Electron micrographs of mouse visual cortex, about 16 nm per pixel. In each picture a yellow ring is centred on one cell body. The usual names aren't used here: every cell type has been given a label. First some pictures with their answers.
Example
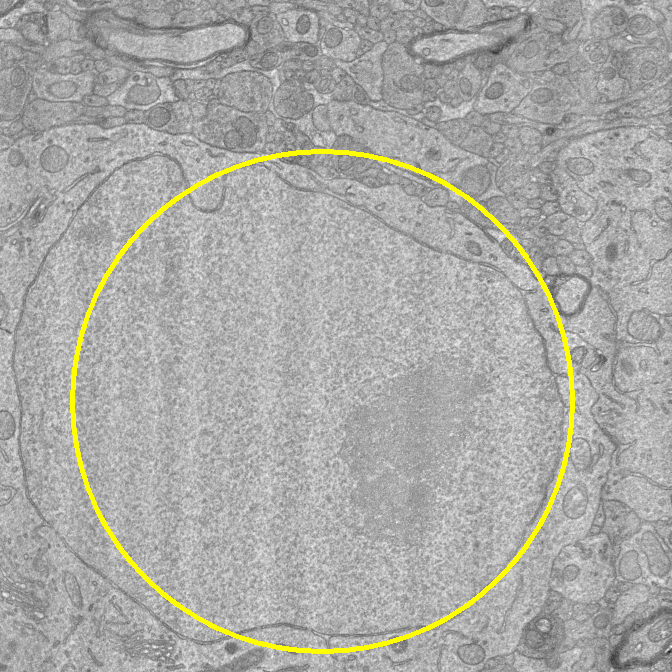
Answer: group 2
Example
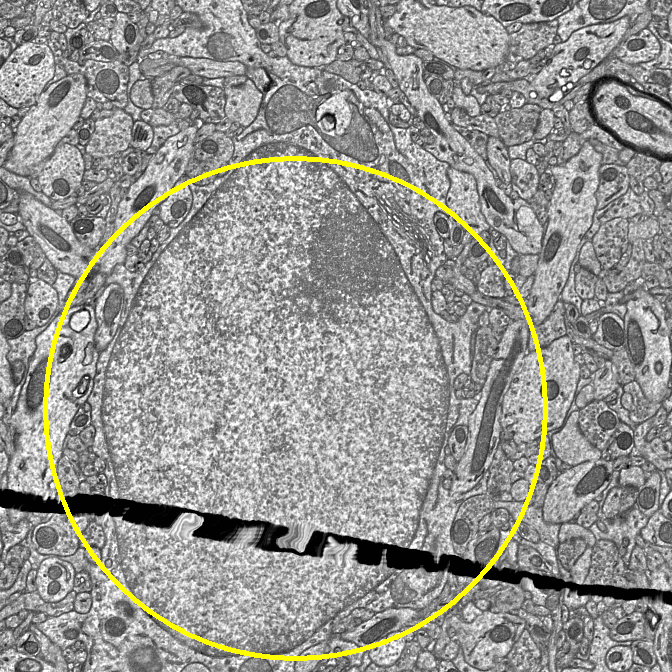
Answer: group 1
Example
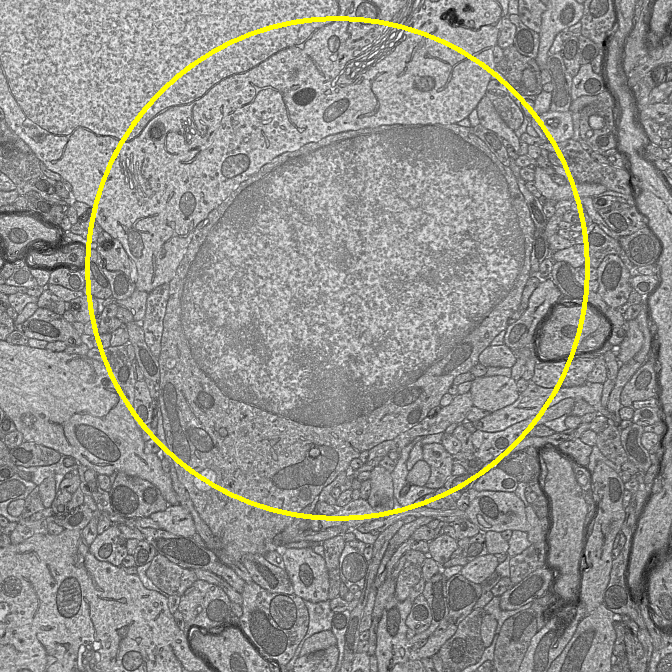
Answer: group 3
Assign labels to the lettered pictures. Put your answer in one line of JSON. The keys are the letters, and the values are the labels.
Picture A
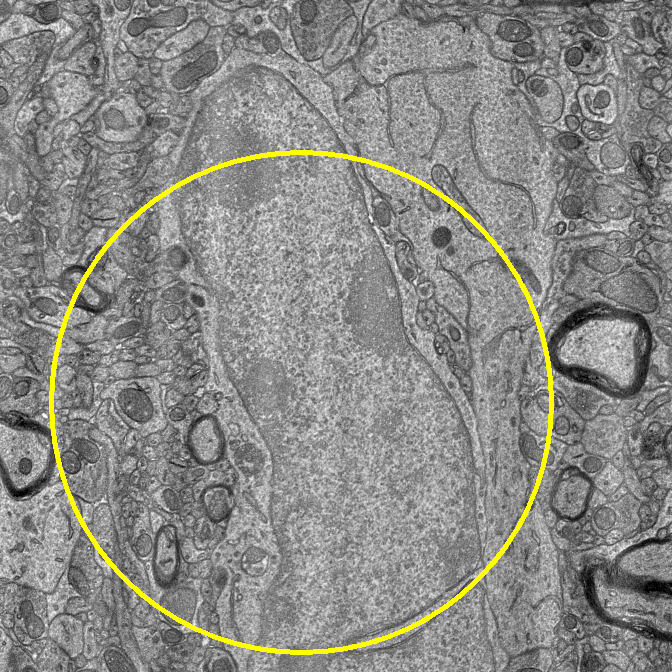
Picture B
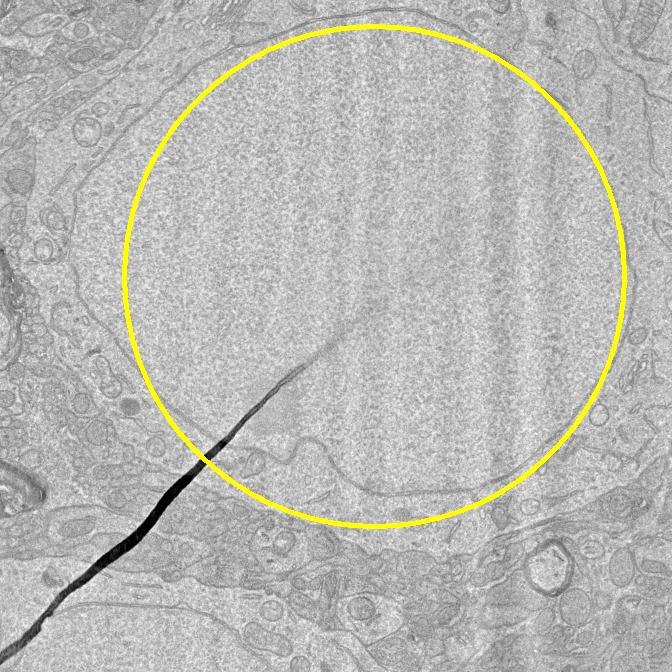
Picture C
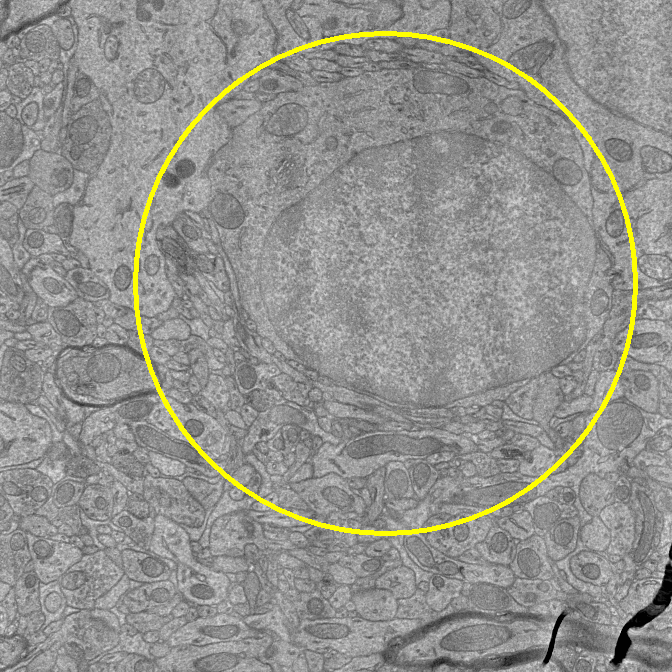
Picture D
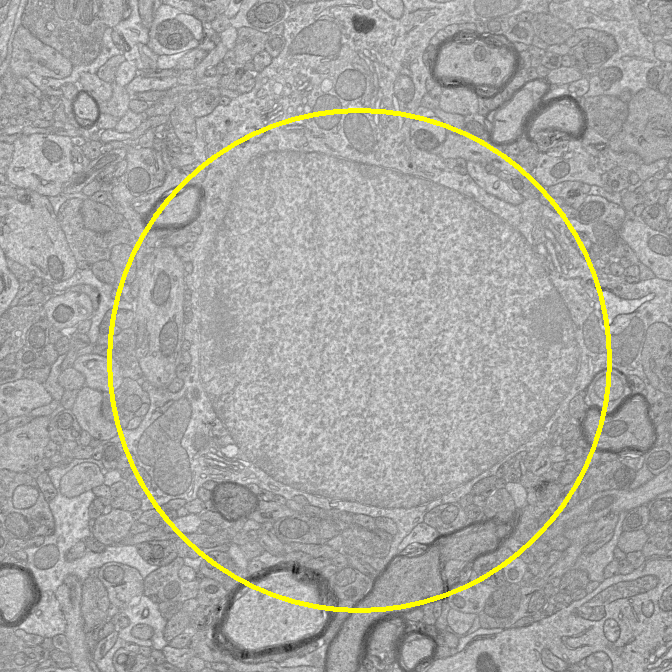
{"A": "group 3", "B": "group 2", "C": "group 3", "D": "group 1"}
